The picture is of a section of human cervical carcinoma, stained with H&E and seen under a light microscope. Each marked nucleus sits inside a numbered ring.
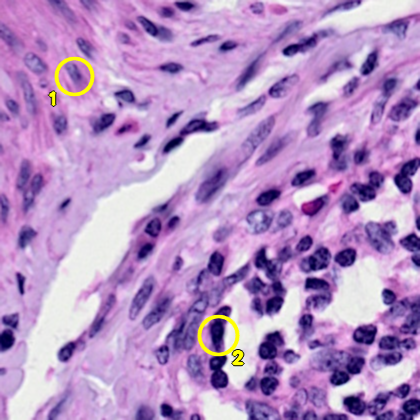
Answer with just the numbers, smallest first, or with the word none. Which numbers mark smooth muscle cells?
1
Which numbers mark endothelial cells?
none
